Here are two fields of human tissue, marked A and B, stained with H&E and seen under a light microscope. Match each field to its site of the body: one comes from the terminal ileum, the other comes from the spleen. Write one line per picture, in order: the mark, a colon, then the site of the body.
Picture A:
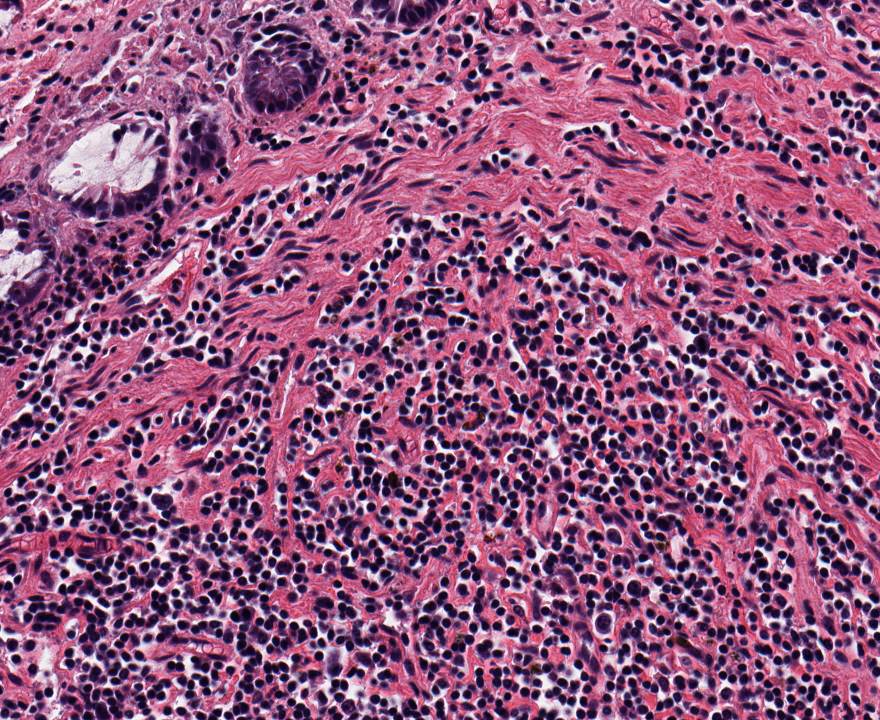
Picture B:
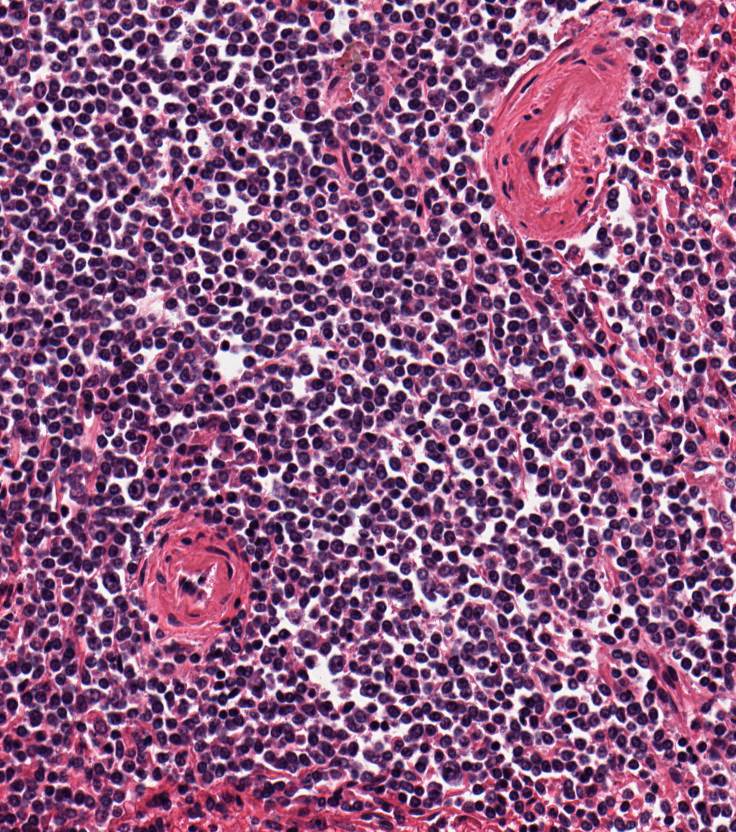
A: terminal ileum
B: spleen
